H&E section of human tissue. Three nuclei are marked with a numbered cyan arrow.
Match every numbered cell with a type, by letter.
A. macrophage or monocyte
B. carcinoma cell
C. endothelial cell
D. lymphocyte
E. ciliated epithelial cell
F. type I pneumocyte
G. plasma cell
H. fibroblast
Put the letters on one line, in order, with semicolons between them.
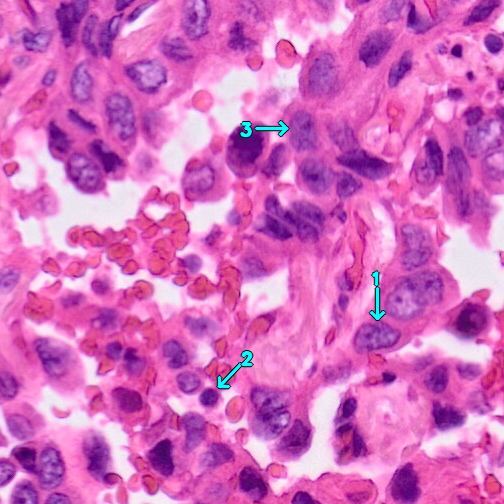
B; D; B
